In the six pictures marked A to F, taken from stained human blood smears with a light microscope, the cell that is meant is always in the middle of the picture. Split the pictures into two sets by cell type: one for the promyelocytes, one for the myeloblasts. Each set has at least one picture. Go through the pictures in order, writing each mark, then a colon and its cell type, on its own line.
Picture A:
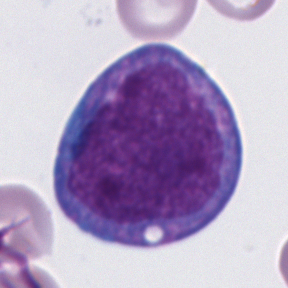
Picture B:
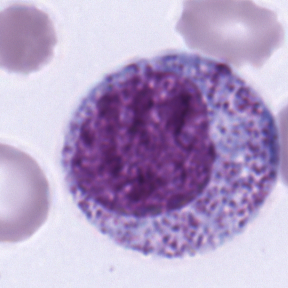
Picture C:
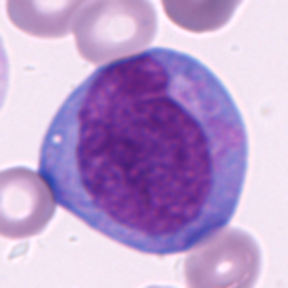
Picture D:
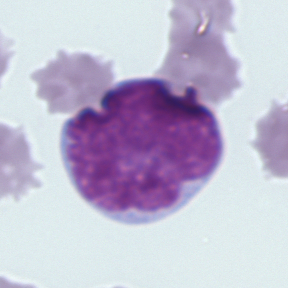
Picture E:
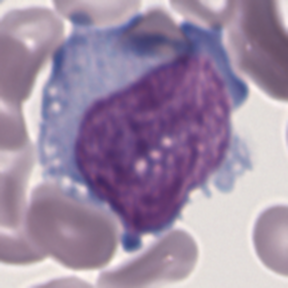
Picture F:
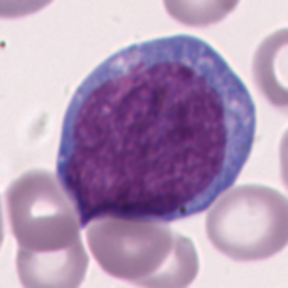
A: promyelocyte
B: promyelocyte
C: promyelocyte
D: myeloblast
E: myeloblast
F: promyelocyte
